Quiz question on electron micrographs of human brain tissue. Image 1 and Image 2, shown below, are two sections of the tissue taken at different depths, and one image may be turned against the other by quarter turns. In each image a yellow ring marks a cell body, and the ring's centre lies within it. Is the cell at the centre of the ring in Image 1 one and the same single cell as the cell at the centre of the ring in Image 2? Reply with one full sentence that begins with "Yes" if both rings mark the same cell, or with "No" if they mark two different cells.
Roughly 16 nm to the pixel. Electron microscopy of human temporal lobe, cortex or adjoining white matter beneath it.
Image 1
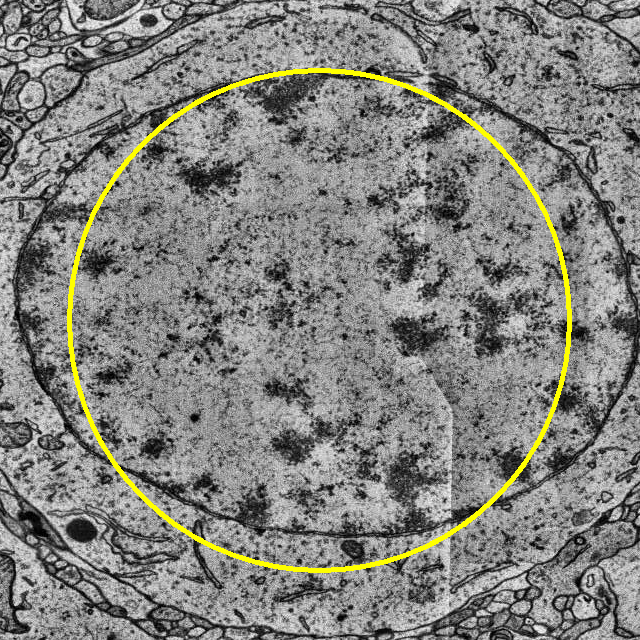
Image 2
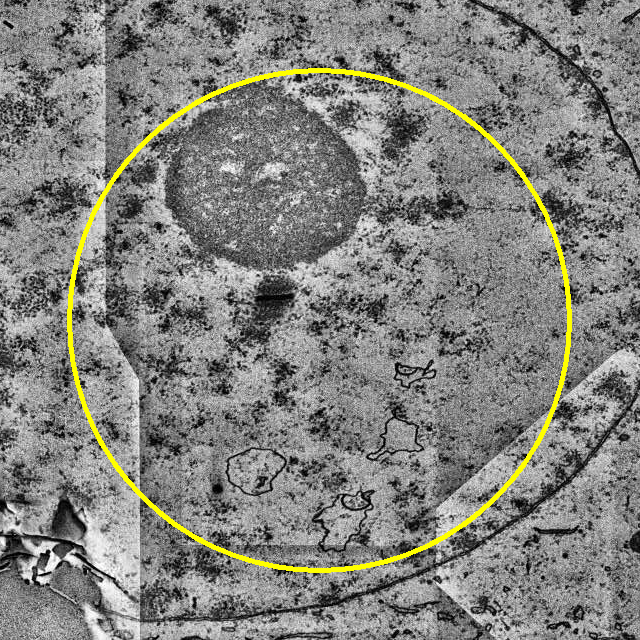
No, the cells within these rings are two separate cells.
